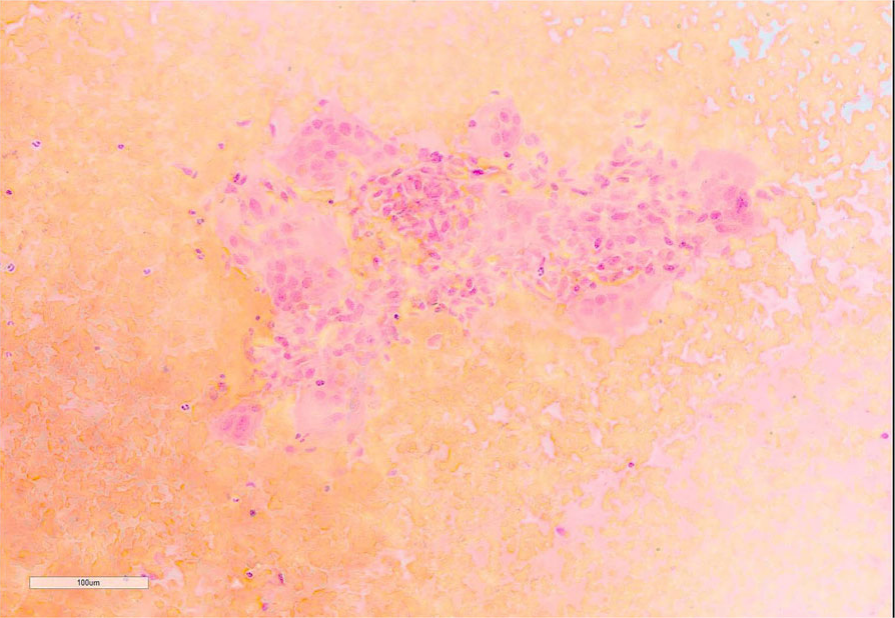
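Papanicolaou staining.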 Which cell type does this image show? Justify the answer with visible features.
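A cohesive cluster of cells lies in the centre of the smear. Many nuclei are elongated and oval, others are rounder and plumper. Cells lie in crowded overlapping groups with pink cytoplasm. On this evidence: spindle and epithelioid cells.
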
